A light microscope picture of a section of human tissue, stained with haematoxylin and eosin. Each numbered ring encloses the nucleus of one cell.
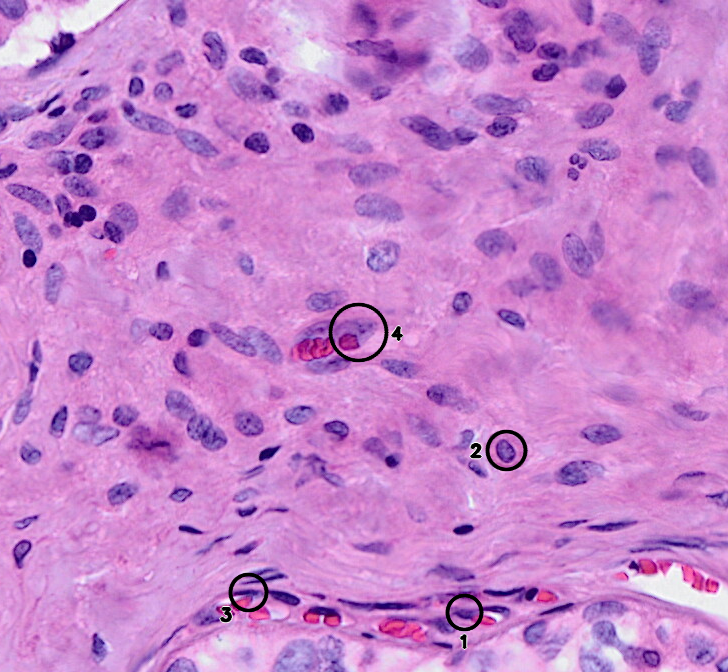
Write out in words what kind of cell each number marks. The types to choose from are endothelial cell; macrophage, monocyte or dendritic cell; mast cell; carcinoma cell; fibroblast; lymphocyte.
Cells 1, 3 and 4 are endothelial cells. Cell 2 is a mast cell.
